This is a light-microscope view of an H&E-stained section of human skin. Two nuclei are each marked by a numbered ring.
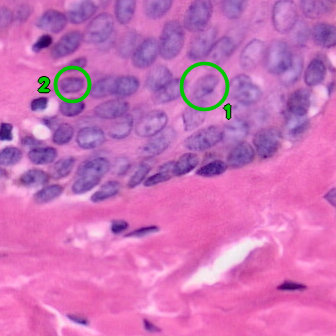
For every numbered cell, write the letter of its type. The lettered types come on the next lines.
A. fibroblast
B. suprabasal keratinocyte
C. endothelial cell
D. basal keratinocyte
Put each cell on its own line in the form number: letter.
1: B
2: D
